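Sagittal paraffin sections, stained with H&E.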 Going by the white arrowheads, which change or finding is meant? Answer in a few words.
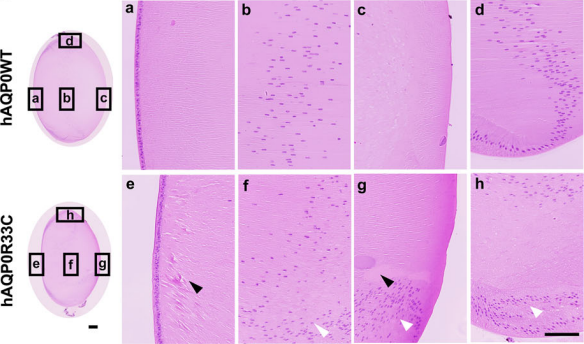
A: Abnormal nuclear distribution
